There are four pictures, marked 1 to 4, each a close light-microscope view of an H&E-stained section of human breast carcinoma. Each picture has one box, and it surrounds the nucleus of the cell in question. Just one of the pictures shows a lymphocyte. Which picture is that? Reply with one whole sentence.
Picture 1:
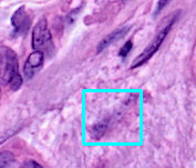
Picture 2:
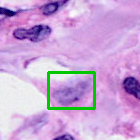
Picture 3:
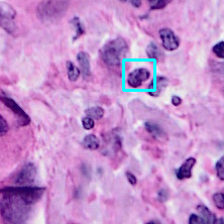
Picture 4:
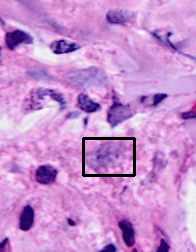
The picture with the lymphocyte is 3.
